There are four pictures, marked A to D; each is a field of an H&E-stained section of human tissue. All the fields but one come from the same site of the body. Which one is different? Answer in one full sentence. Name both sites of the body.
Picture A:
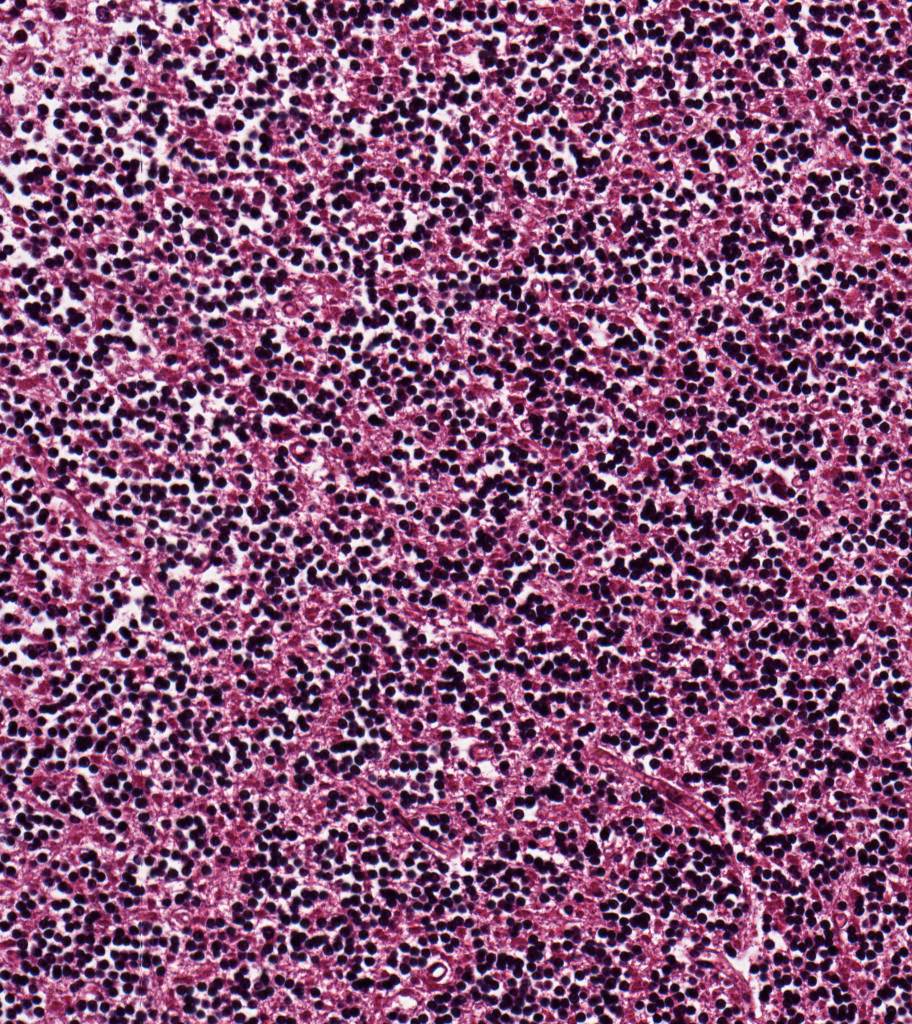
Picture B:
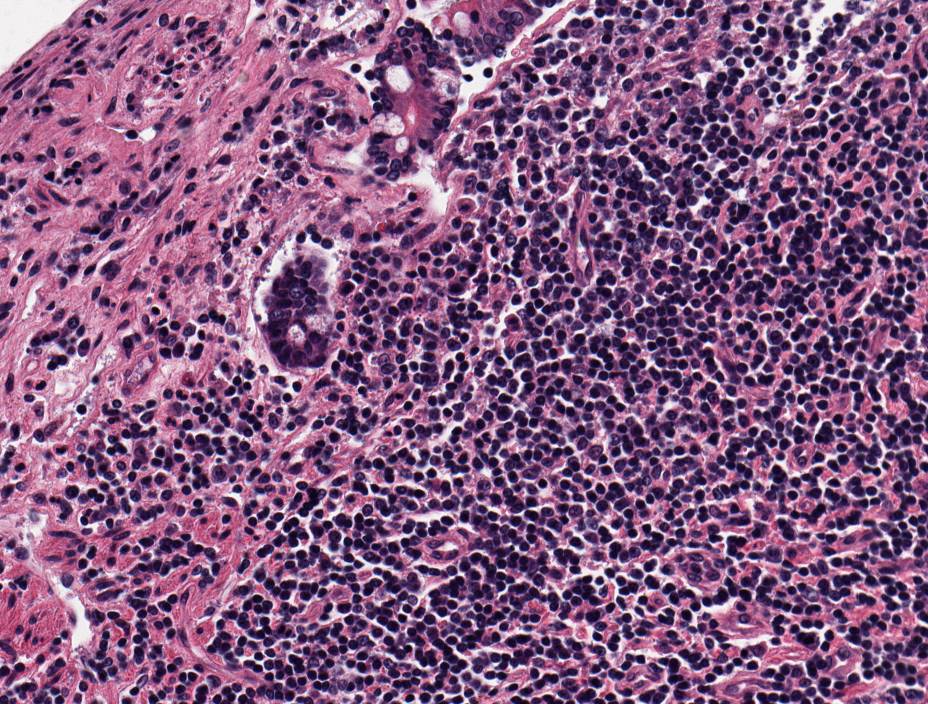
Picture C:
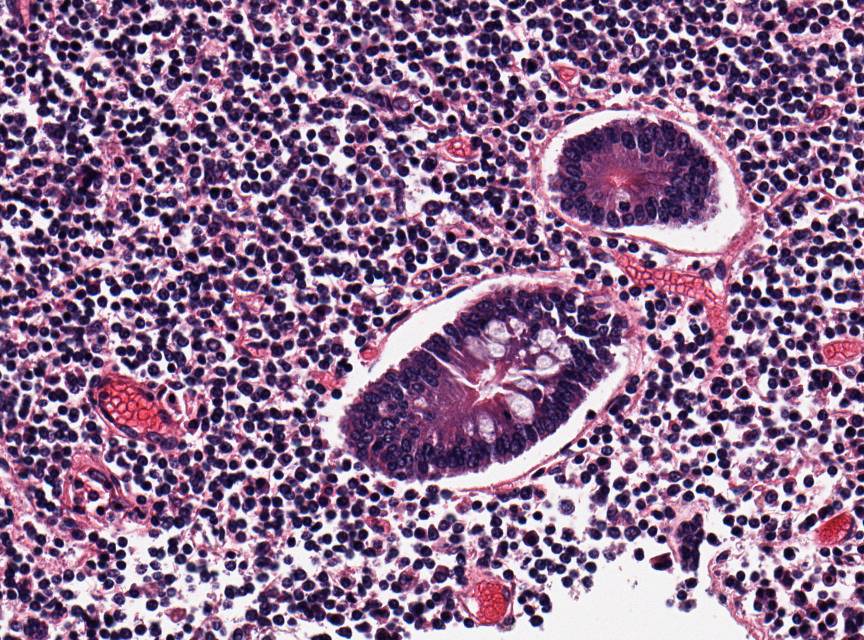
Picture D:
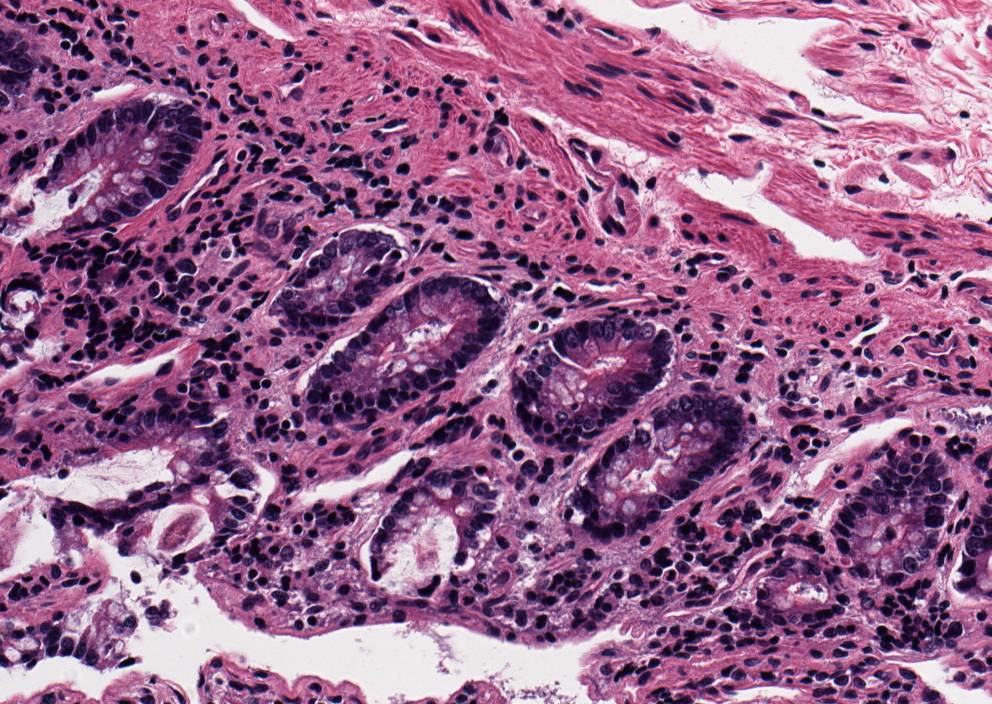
The others come from the terminal ileum, but picture A comes from the cerebellum.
